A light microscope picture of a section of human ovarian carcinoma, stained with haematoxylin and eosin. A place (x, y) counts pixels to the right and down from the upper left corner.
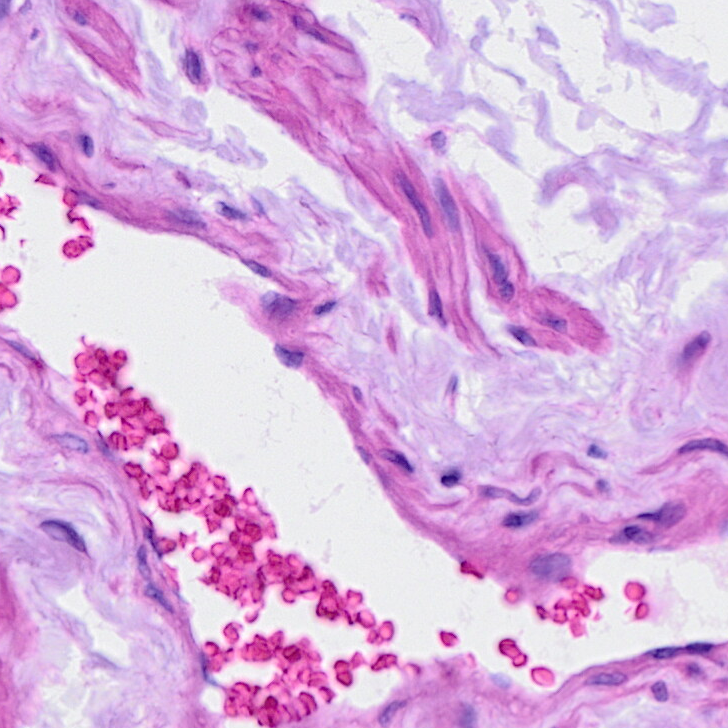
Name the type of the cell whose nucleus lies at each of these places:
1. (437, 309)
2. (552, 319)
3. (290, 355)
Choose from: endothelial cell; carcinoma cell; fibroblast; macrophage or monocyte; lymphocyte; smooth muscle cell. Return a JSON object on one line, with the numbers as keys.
{"1": "smooth muscle cell", "2": "smooth muscle cell", "3": "endothelial cell"}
